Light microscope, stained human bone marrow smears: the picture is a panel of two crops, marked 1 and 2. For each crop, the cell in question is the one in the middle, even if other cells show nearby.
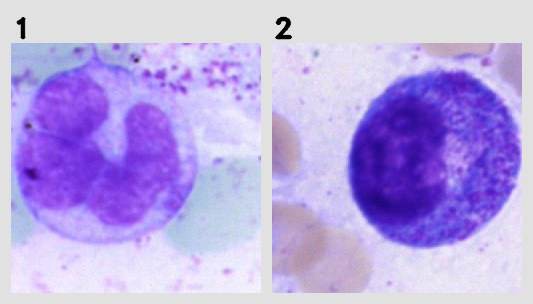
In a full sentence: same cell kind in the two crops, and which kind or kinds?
No, whereas crop 1 shows a monocyte, crop 2 shows a promyelocyte.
